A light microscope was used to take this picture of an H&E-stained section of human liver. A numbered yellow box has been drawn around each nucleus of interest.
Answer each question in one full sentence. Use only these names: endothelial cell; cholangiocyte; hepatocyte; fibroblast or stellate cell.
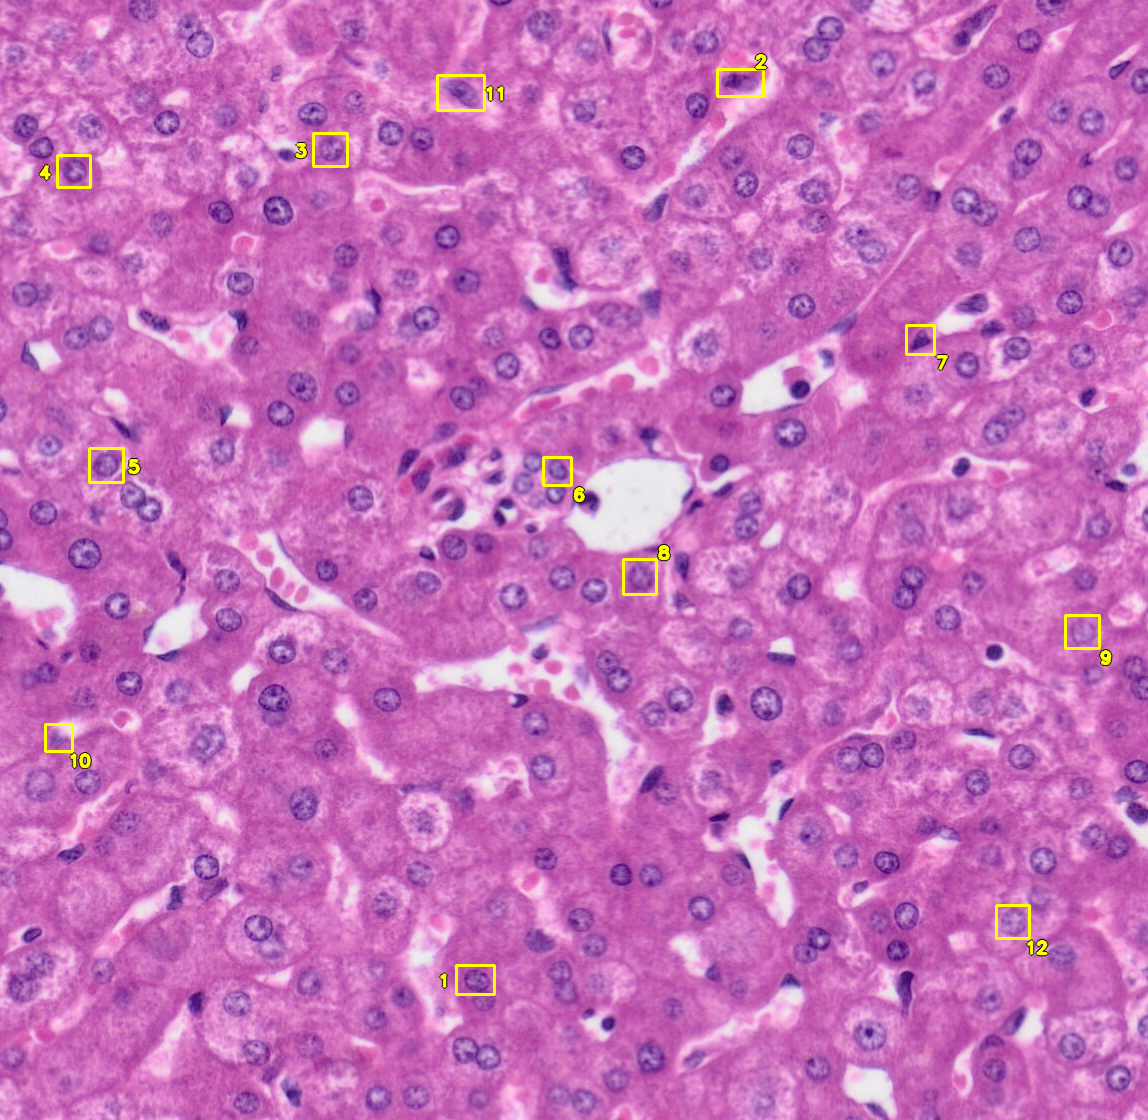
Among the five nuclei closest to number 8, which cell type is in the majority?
Around number 8, most of the five nearest nuclei are those of fibroblasts or stellate cells.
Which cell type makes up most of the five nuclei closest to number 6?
Cholangiocytes account for more than half of the five nuclei nearest to number 6.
